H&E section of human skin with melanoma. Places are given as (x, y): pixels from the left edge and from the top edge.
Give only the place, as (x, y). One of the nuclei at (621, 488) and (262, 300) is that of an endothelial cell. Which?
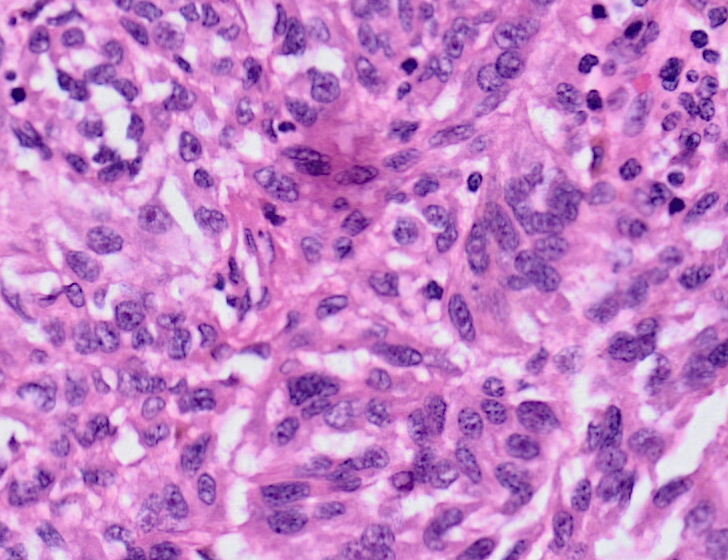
(262, 300)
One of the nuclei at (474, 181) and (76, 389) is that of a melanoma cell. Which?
(76, 389)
